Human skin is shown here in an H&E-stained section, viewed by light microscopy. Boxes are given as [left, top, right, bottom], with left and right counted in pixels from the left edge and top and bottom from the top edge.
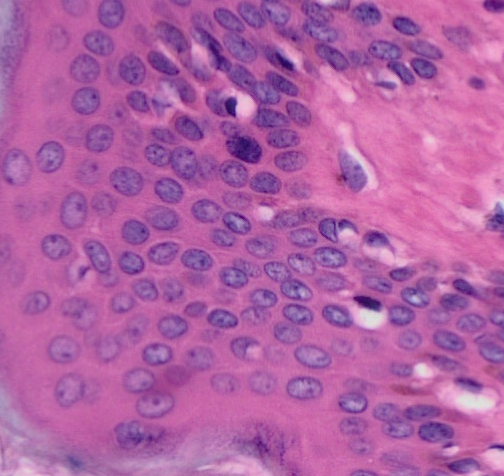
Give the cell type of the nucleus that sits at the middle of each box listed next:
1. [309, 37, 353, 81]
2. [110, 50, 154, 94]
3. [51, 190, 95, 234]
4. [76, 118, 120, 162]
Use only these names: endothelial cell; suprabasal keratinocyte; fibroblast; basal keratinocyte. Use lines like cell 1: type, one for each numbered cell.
cell 1: basal keratinocyte
cell 2: suprabasal keratinocyte
cell 3: suprabasal keratinocyte
cell 4: suprabasal keratinocyte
